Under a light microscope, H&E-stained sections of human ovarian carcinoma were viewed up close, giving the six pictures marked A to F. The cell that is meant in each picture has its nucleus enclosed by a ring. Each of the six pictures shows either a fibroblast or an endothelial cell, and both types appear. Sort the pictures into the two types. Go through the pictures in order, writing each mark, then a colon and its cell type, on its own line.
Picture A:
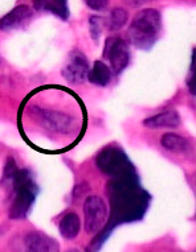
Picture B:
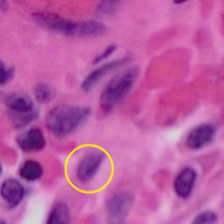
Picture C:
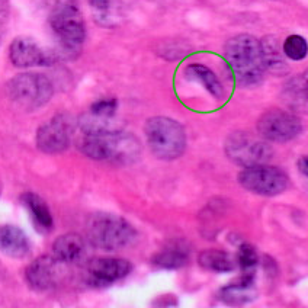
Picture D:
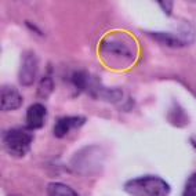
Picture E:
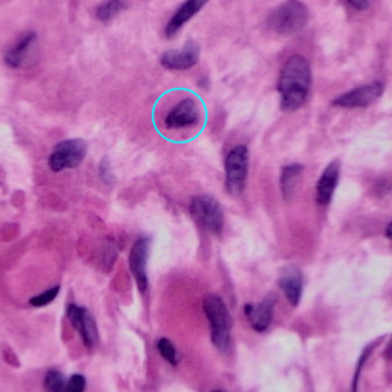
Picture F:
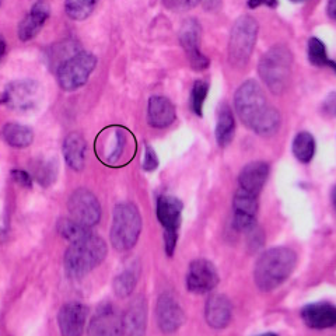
A: endothelial cell
B: fibroblast
C: endothelial cell
D: endothelial cell
E: fibroblast
F: endothelial cell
